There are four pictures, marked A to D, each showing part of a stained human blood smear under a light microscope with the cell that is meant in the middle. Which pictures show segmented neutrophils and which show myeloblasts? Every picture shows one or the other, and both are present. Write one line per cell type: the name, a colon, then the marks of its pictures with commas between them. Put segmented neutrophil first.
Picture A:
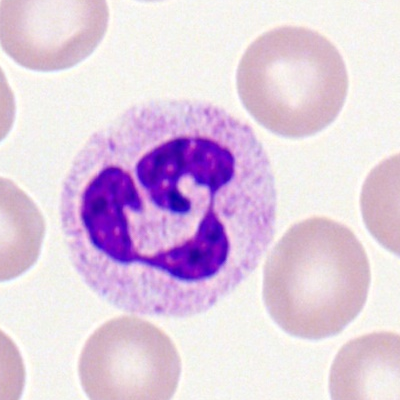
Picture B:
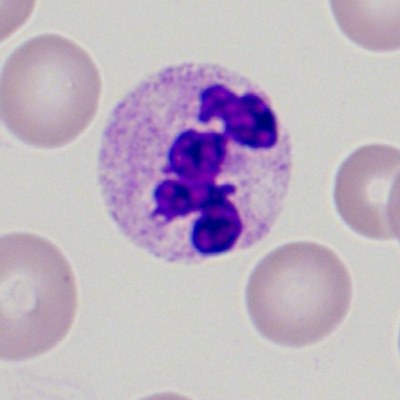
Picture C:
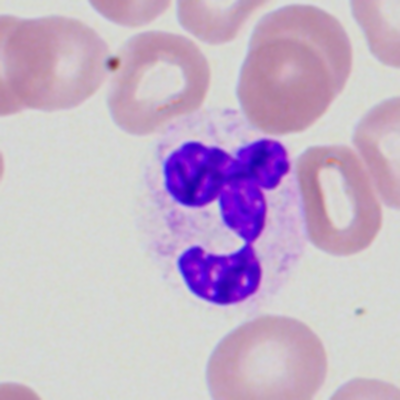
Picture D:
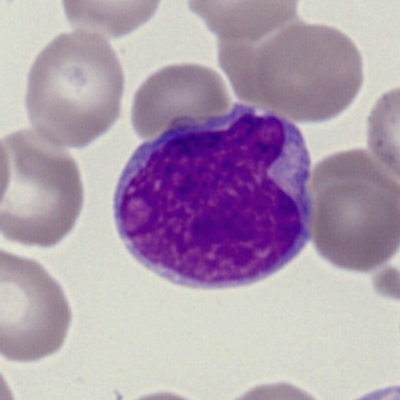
segmented neutrophil: A, B, C
myeloblast: D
